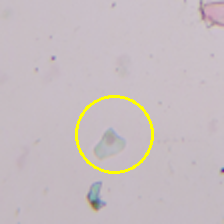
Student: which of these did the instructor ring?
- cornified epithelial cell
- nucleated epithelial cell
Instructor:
The cell I ringed is a nucleated epithelial cell.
